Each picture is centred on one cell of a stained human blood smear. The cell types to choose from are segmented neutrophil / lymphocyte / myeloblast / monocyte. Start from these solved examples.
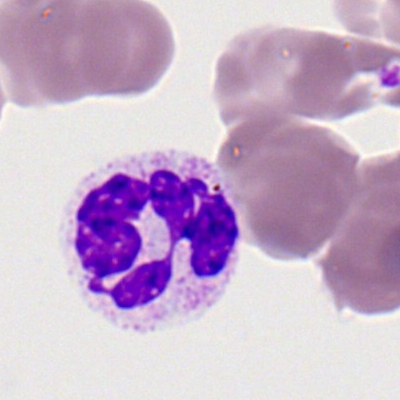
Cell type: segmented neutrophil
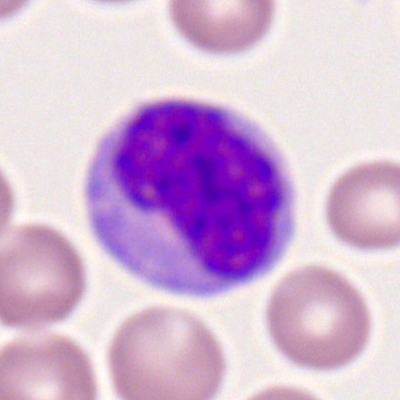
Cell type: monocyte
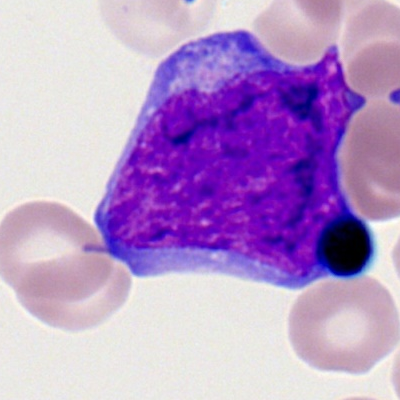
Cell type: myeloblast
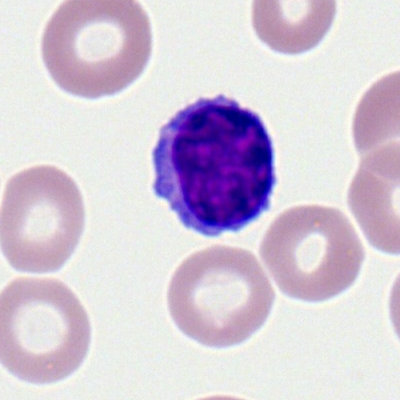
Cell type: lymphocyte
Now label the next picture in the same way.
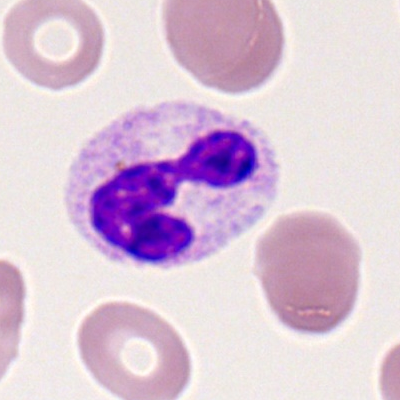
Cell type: segmented neutrophil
